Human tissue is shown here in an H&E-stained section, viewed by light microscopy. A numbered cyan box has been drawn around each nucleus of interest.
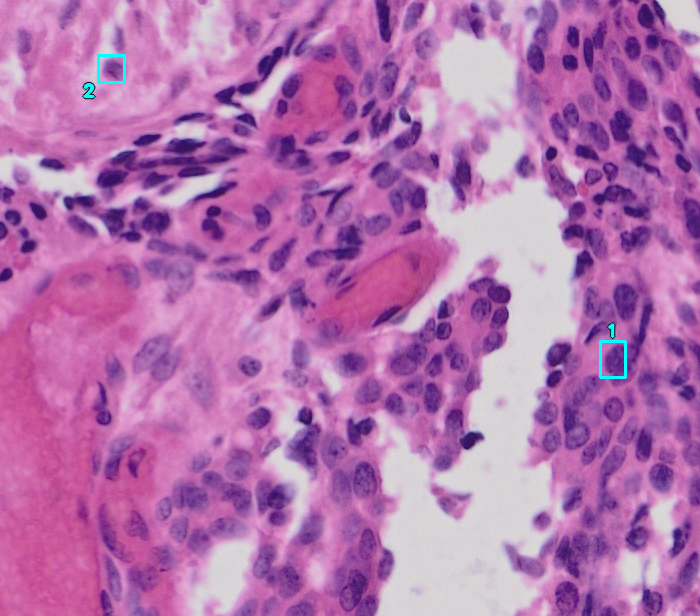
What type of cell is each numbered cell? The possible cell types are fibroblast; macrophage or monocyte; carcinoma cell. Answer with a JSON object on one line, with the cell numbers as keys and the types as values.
{"1": "carcinoma cell", "2": "fibroblast"}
